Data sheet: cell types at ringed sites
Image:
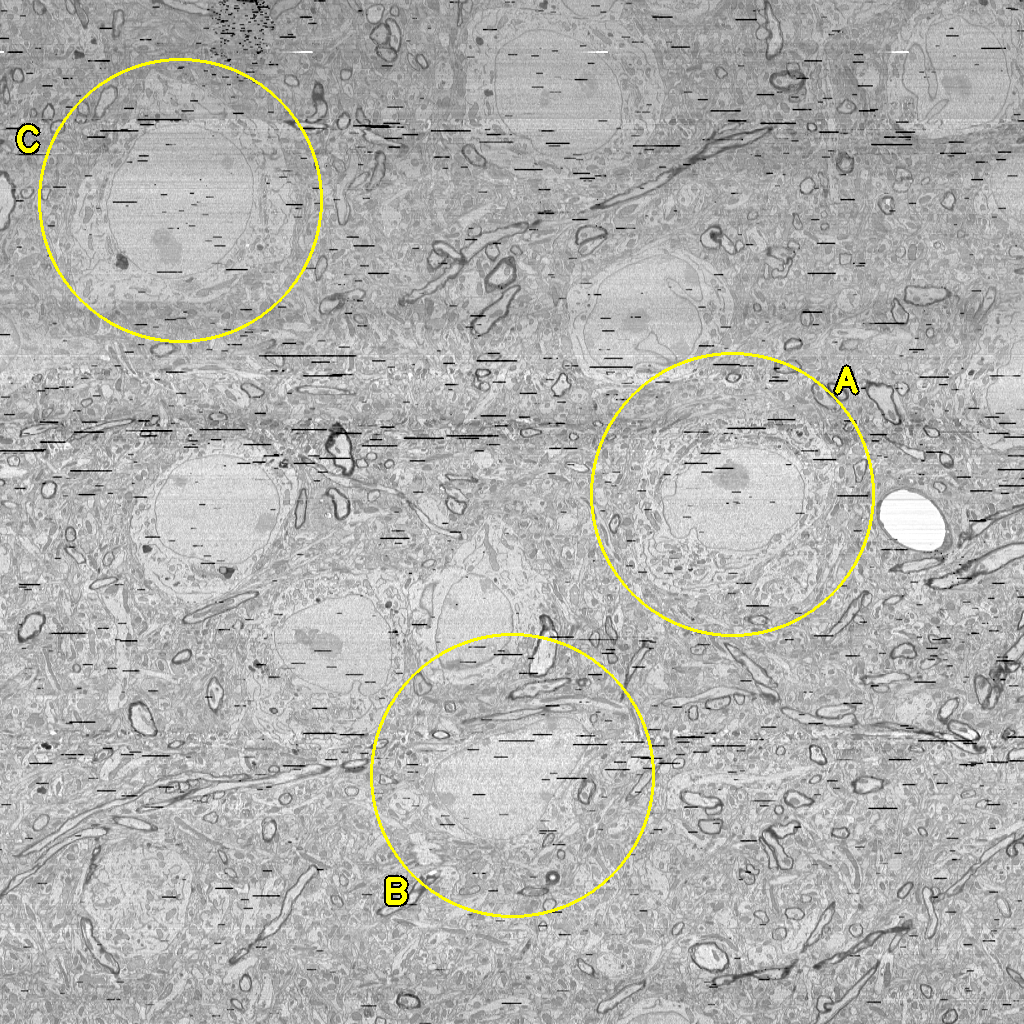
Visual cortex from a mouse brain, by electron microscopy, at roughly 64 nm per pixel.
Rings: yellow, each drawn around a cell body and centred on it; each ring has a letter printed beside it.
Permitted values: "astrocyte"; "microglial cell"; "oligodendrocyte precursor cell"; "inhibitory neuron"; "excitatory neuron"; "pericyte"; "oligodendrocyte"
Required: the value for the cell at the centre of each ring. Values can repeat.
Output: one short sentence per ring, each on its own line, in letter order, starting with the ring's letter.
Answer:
Ring A has an inhibitory neuron at its centre.
Ring B has an astrocyte at its centre.
Ring C has an excitatory neuron at its centre.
